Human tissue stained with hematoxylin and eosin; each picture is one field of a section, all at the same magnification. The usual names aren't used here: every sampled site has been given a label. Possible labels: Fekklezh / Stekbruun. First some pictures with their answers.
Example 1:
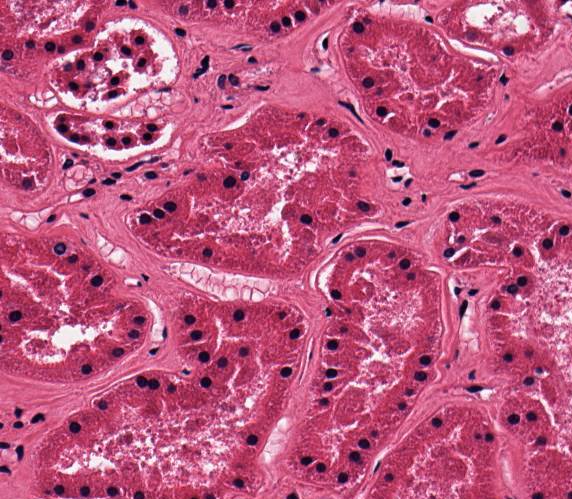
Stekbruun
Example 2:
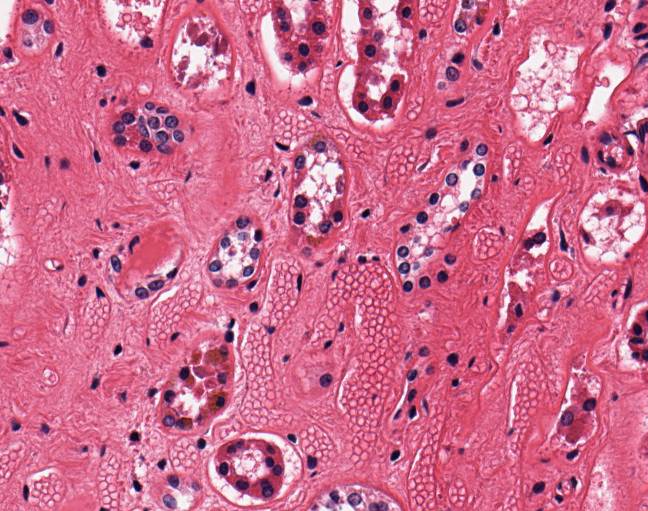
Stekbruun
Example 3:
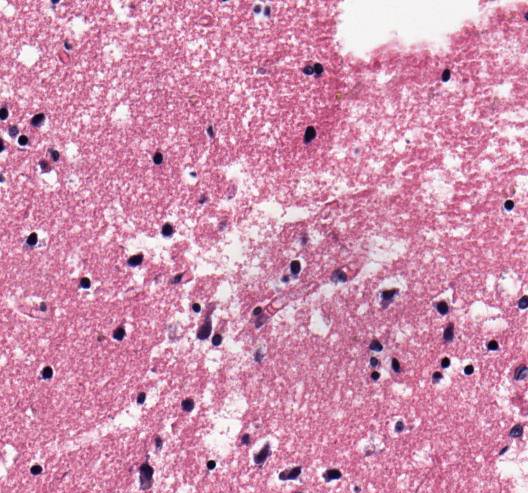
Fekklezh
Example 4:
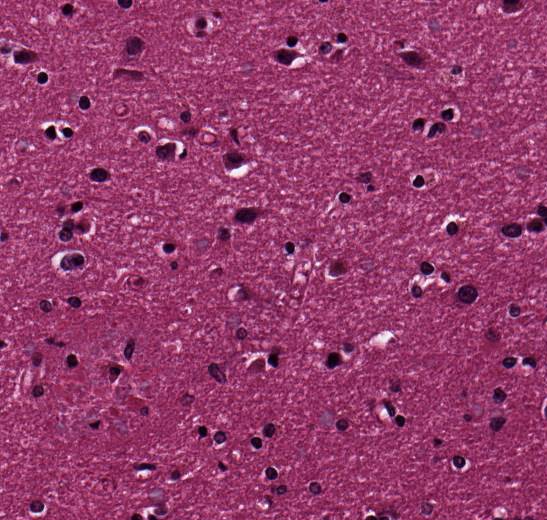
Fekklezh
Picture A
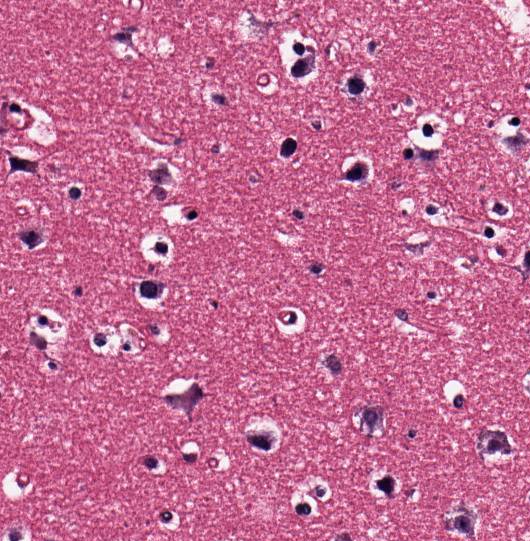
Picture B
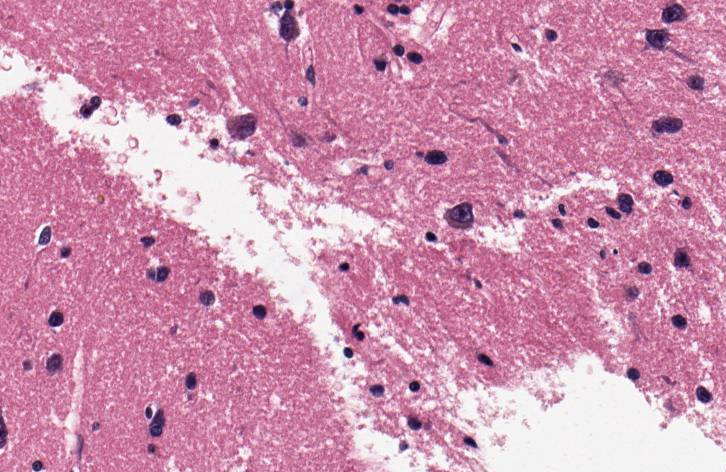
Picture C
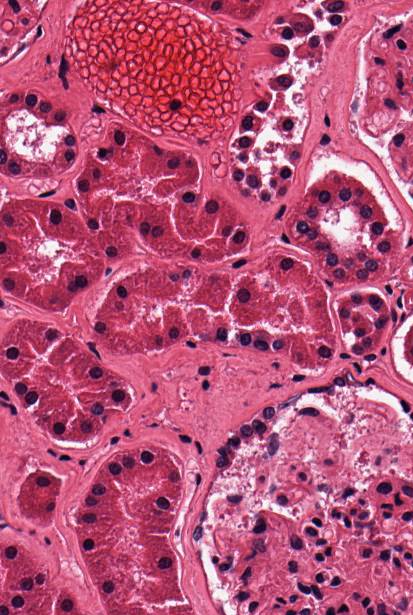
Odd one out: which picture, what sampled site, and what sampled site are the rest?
Exception: C, showing Stekbruun. Remaining pictures: Fekklezh.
